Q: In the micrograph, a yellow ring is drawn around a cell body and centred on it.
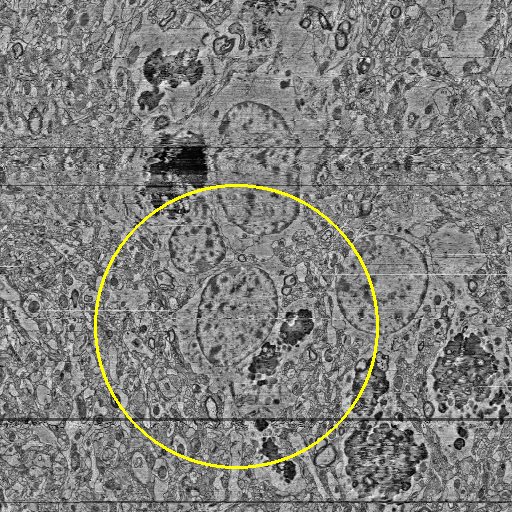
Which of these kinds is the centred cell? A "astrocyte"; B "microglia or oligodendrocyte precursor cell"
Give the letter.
A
